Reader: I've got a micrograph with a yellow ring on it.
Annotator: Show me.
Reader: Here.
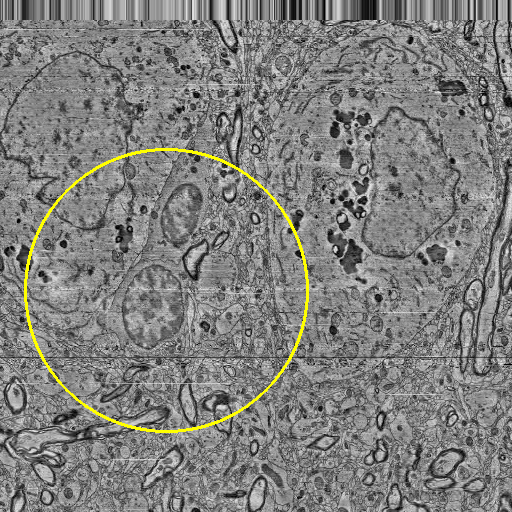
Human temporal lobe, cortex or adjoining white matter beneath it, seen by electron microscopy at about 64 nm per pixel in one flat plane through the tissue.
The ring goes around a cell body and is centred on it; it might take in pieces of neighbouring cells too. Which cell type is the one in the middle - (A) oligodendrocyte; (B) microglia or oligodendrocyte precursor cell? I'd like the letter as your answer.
A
